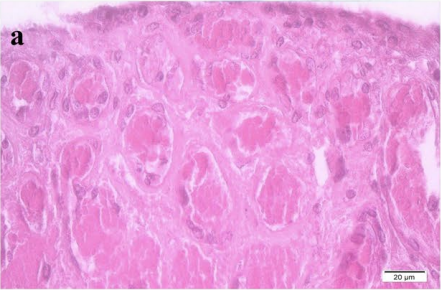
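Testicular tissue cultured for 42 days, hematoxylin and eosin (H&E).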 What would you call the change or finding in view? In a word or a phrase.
Loss of germ cell layers.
